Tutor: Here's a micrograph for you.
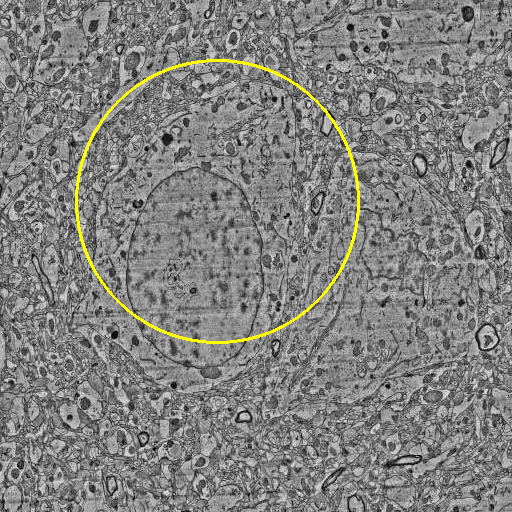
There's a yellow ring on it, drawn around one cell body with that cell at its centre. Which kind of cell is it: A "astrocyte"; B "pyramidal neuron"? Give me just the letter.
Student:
B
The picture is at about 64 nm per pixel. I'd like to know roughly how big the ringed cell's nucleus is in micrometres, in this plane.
Approximately 13 by 9 micrometers in this plane.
